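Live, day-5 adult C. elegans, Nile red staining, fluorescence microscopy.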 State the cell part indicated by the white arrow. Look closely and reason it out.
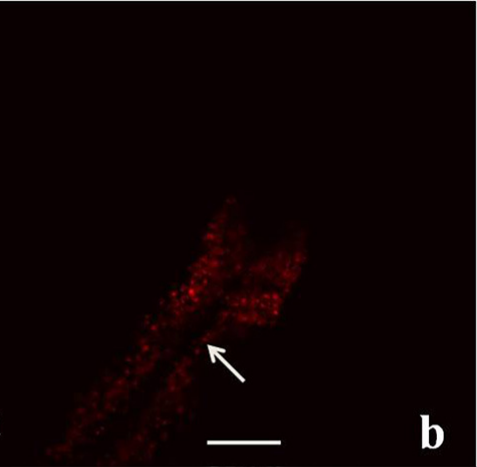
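The arrow points to small red round dots. The dots are scattered along two bands of the body.
Answer: fat droplets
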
